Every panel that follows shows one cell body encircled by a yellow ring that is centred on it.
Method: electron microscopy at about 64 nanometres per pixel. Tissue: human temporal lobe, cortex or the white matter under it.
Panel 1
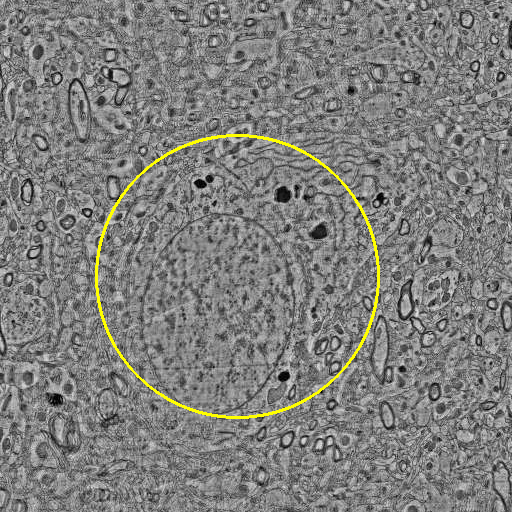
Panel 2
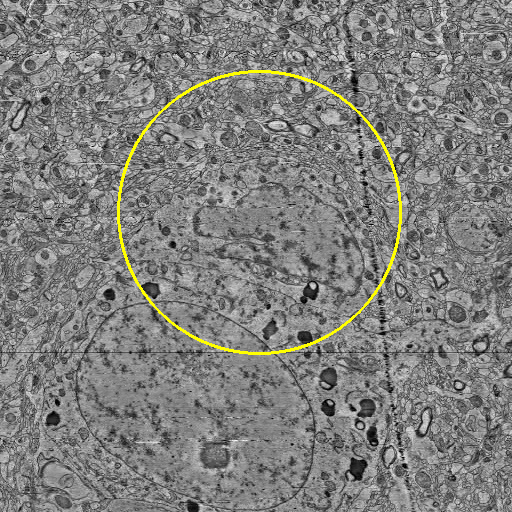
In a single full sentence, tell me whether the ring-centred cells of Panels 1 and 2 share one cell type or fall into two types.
In Panel 1 and Panel 2, the cells at the ring centres fall into two types.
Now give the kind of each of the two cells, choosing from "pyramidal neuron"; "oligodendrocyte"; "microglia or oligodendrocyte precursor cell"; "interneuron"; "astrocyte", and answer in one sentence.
The cell in the first picture is a pyramidal neuron, and the cell in the second is an interneuron.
